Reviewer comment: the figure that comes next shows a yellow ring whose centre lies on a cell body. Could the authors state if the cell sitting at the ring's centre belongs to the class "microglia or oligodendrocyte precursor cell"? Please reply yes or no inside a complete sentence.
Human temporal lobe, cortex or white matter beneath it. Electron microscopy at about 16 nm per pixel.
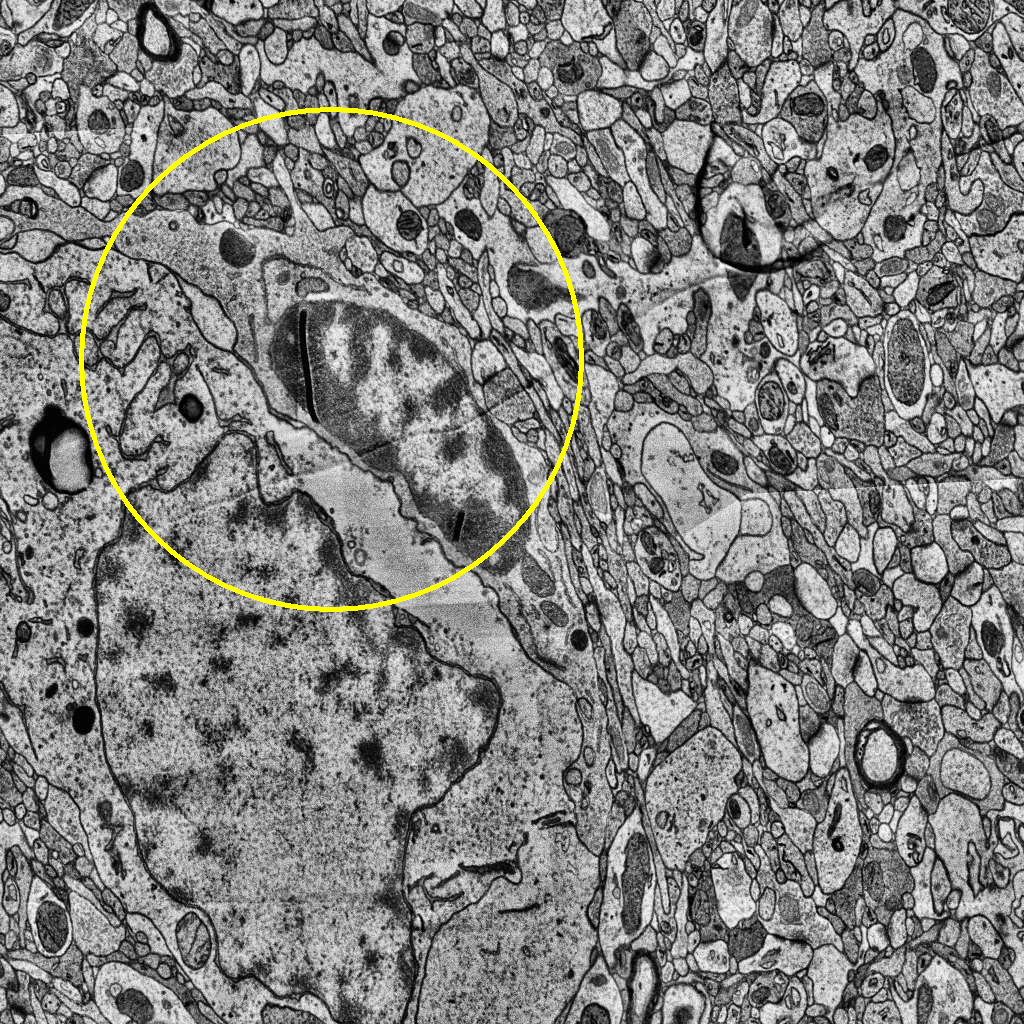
Yes, in the figure, the cell at the ring's centre belongs to that class.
